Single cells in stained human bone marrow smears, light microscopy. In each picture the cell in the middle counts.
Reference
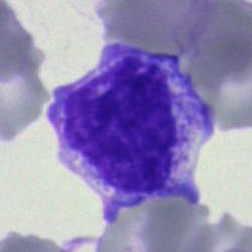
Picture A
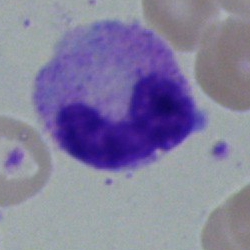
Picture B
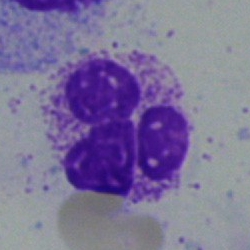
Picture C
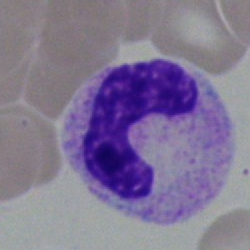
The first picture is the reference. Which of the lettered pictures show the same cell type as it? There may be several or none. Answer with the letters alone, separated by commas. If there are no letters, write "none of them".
none of them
